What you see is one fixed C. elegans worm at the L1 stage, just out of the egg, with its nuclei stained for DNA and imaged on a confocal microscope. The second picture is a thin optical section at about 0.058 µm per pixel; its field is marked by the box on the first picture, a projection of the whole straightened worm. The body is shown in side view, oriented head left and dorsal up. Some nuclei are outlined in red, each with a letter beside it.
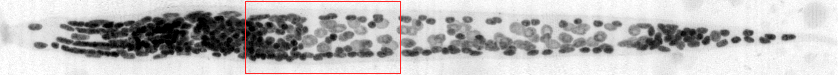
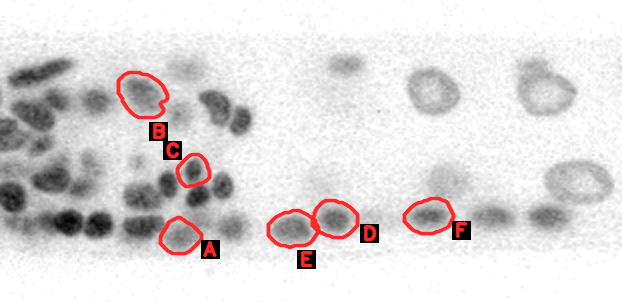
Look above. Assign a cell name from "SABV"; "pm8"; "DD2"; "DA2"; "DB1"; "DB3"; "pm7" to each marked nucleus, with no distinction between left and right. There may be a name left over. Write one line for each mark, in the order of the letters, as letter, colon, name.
A: DB1
B: pm7
C: pm8
D: DA2
E: DB3
F: DD2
